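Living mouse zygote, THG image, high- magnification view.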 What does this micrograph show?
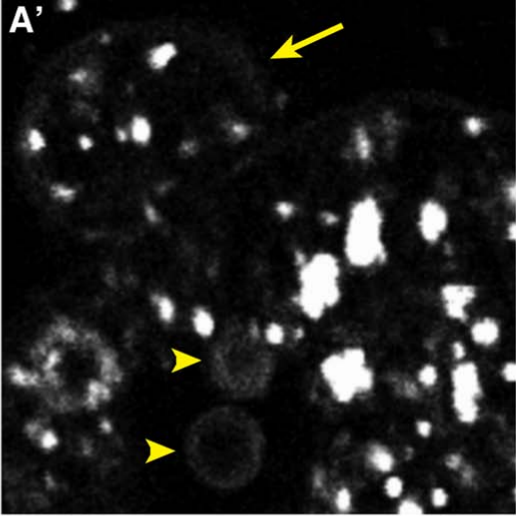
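The cytoplasm is crowded with bright globular structures of varied size, some compact and round, others larger and irregular. Within the cell lie round nucleoli, seen as bodies outlined by a faint ring and free of the bright globules, and nearby a ring-shaped cluster of finer bright granules. The polar body holds a few bright globules of its own.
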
